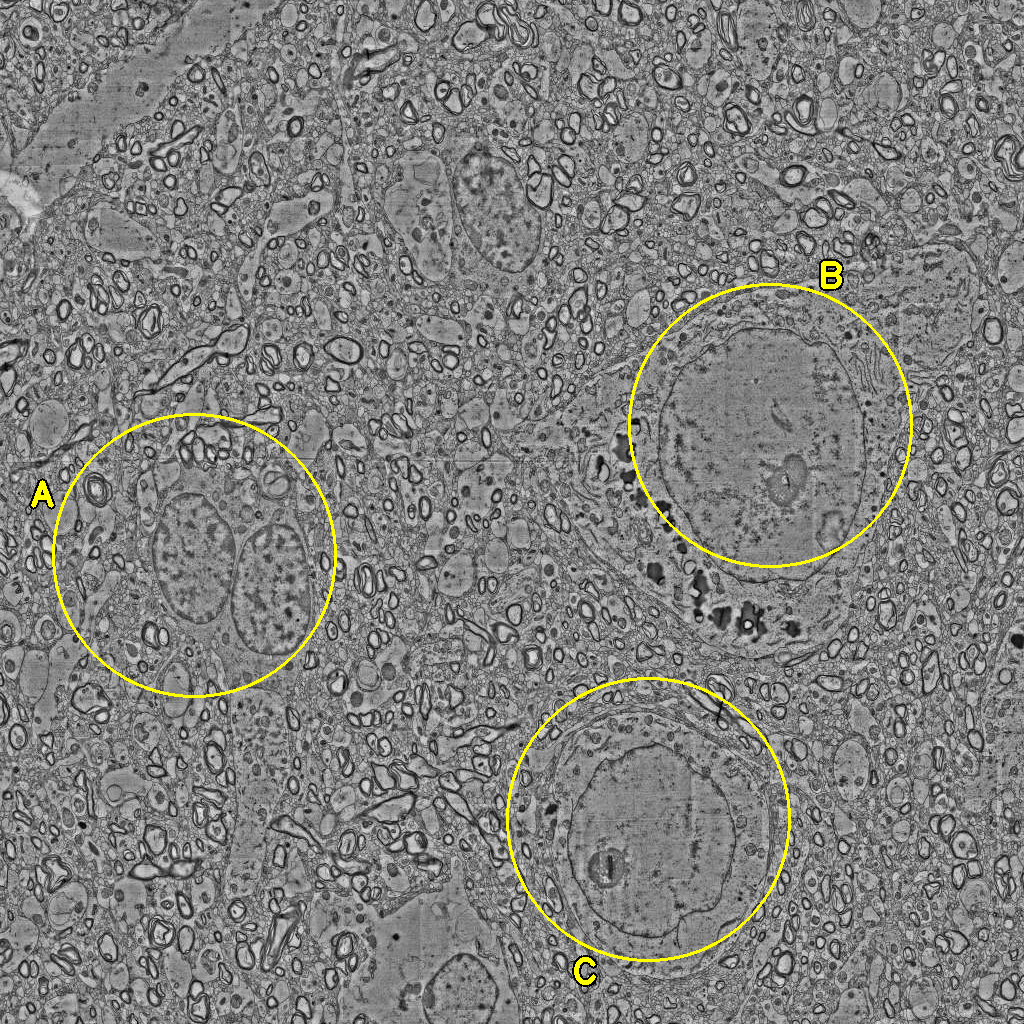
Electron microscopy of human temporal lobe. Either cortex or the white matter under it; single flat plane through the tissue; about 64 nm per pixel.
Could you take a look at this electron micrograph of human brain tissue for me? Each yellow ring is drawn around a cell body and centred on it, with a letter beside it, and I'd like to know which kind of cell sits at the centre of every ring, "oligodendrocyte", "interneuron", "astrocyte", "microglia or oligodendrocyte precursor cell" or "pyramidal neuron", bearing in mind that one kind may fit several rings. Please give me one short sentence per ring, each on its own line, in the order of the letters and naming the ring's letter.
Ring A is centred on an oligodendrocyte.
Ring B is centred on a pyramidal neuron.
Ring C is centred on a pyramidal neuron.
